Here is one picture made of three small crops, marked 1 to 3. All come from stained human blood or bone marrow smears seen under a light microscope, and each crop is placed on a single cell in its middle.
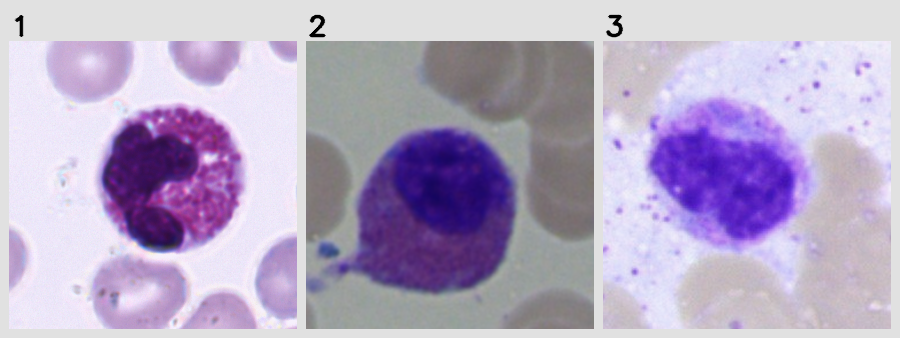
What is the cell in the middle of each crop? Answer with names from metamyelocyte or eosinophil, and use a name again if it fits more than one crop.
1: eosinophil
2: eosinophil
3: metamyelocyte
